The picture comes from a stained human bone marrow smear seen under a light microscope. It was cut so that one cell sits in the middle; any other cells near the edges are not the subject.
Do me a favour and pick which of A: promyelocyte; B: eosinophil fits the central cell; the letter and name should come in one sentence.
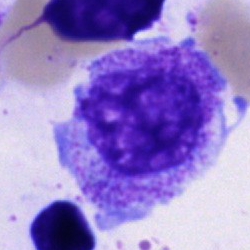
Well, the cell in the middle is a promyelocyte, making option A right.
